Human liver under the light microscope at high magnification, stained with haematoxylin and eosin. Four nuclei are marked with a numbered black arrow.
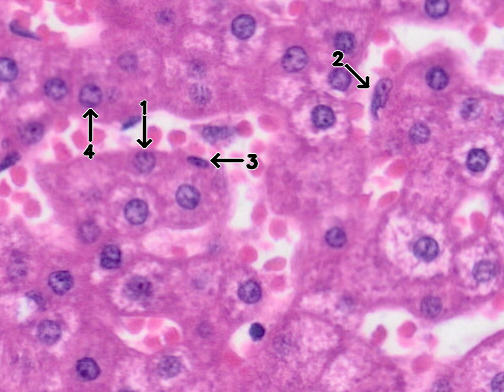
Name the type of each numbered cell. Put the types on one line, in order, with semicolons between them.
hepatocyte; Kupffer cell; fibroblast or stellate cell; hepatocyte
